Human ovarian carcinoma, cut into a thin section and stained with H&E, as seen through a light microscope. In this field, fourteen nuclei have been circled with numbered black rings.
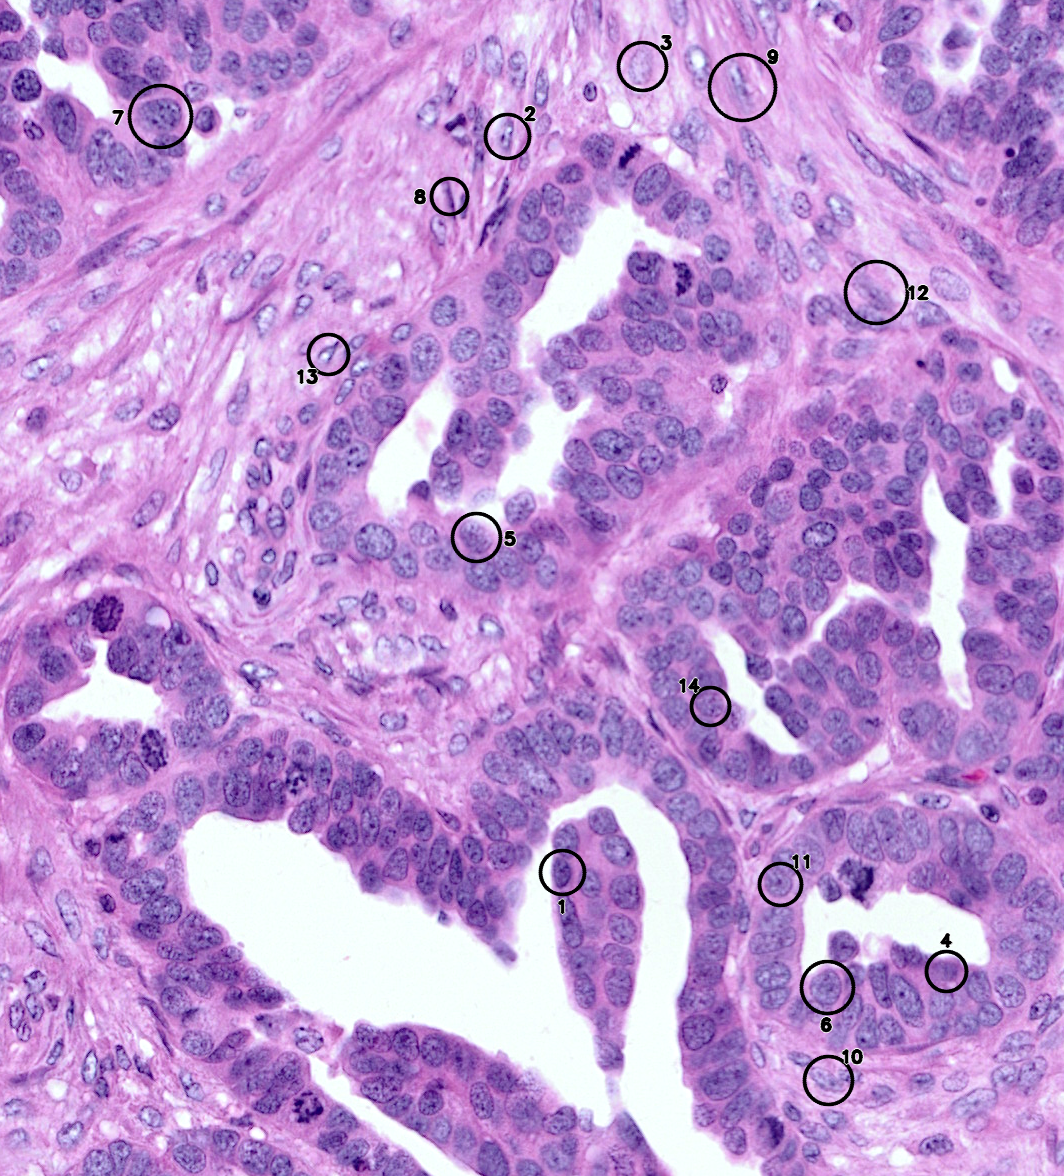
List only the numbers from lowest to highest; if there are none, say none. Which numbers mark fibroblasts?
2, 3, 8, 9, 10, 12, 13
